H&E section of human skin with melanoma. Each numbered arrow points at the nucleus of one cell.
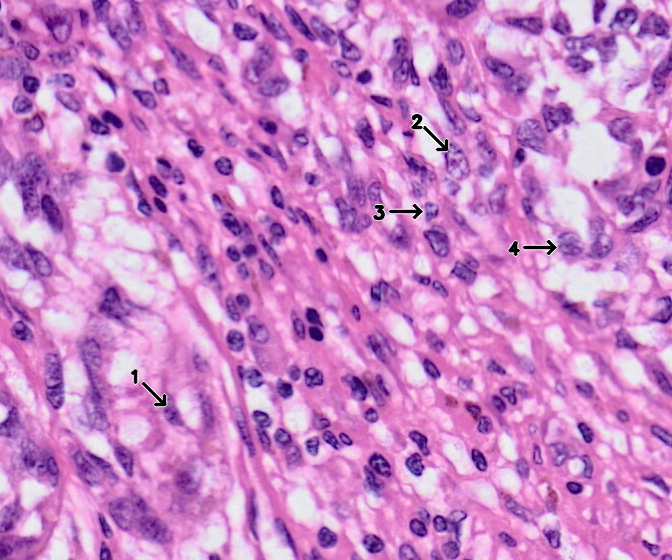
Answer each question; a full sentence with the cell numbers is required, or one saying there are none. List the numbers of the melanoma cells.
Cells 1, 2 and 4 are melanoma cells by cell type.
